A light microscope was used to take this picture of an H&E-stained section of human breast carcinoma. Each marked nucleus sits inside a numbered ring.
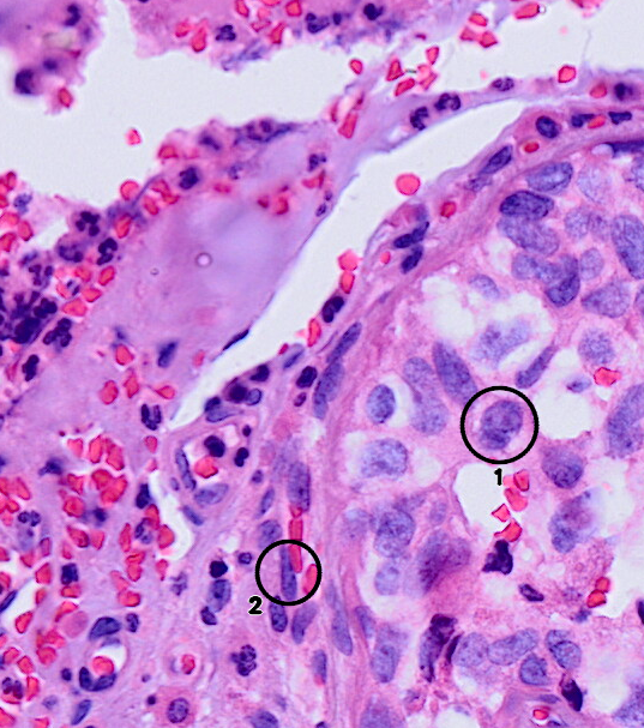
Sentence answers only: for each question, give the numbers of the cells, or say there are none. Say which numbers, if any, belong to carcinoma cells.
It is only cell 1 that is a carcinoma cell among the numbered cells.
